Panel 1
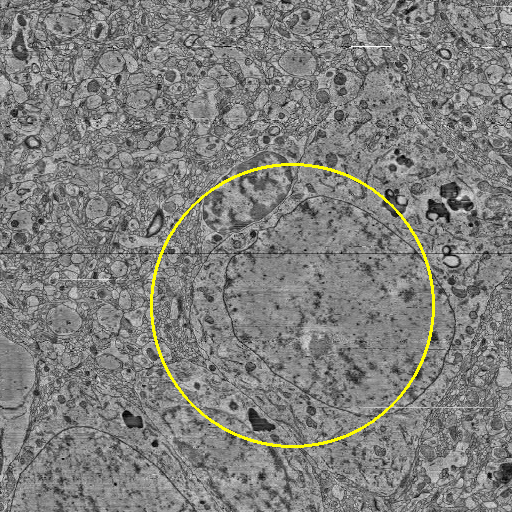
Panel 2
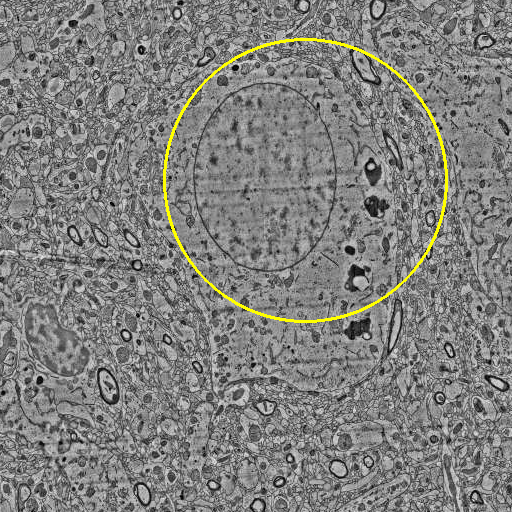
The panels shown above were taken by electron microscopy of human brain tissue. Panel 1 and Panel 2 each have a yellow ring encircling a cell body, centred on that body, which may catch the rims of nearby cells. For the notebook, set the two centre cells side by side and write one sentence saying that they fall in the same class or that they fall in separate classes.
The centred cells of Panel 1 and Panel 2 fall in the same class.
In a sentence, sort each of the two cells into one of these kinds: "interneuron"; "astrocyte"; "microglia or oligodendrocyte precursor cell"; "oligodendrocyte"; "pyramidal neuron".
Each of the ringed cells, first and second, is a pyramidal neuron.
